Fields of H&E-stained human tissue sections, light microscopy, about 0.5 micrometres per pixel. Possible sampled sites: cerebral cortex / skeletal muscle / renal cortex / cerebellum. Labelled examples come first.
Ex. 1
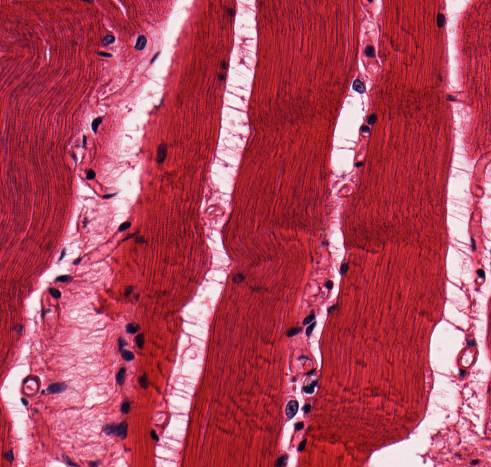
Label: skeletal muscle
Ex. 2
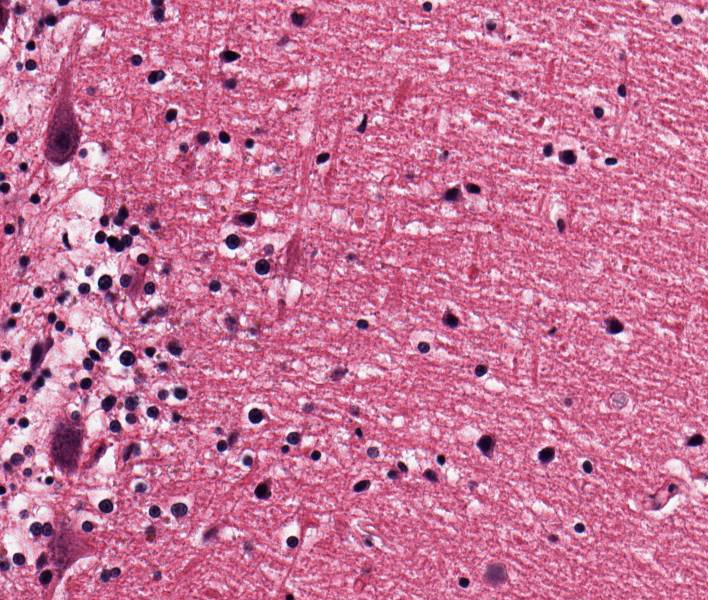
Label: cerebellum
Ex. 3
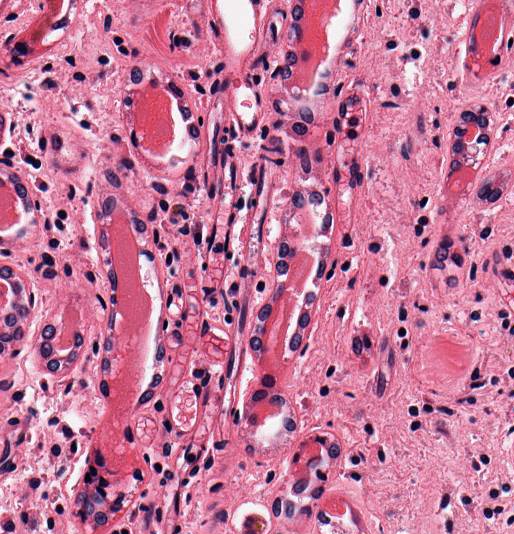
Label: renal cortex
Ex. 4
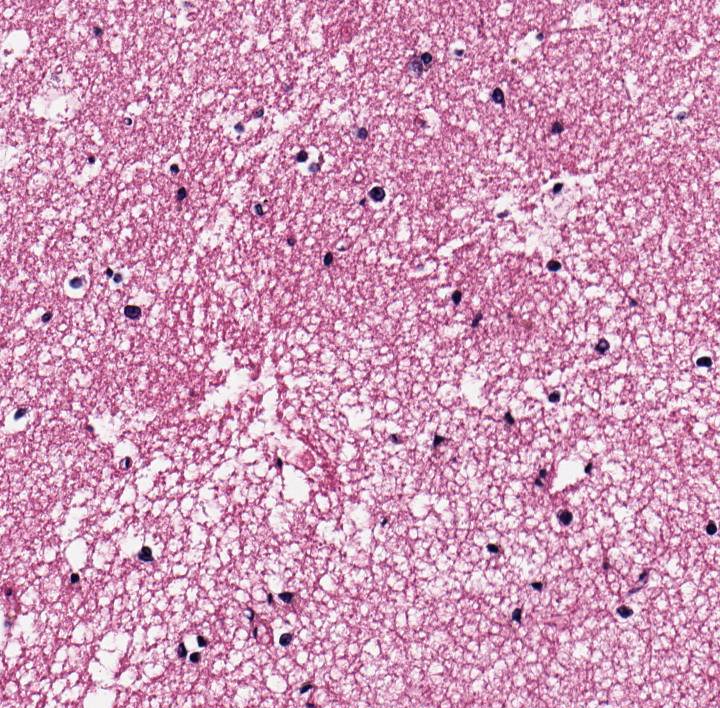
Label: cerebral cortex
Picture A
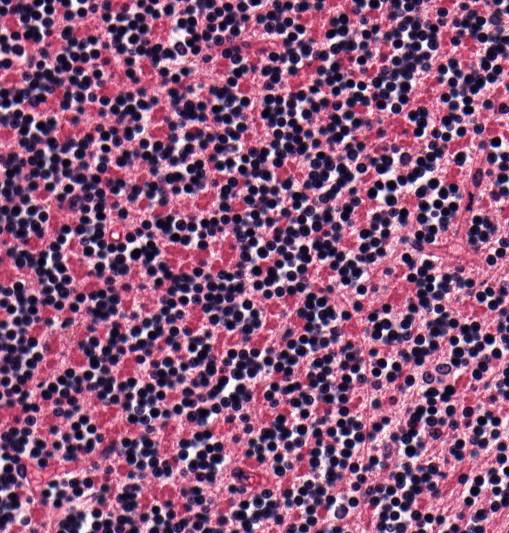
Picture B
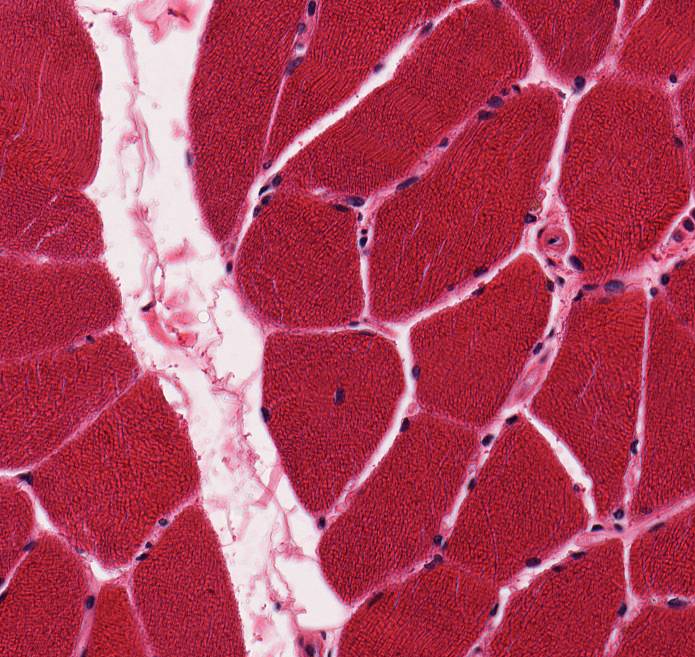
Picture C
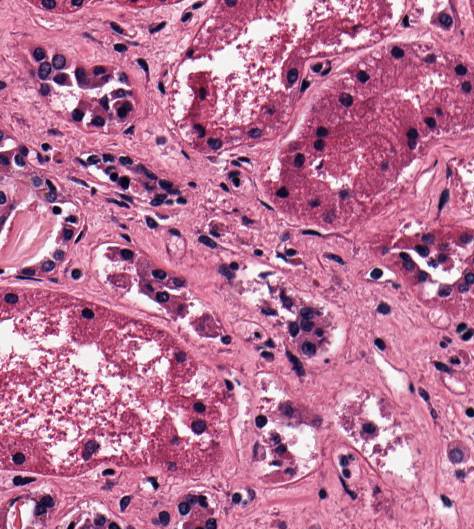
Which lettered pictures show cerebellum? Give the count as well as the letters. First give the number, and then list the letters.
1: A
